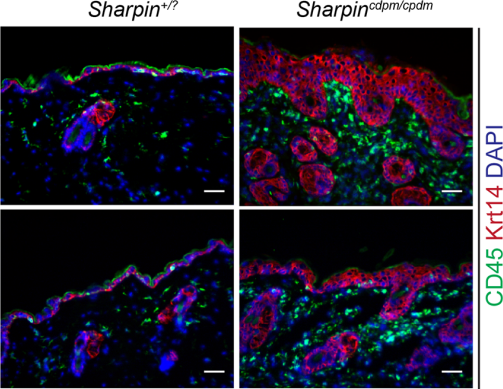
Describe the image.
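Blue nuclei fill the whole section. The red band at the surface is the epidermis, and red rings and cords deeper down are hair follicles and glands. On the left the epidermis is a thin red line, with only a few green cells beneath it. On the right the red epidermis is much thicker and sends tongues down into the dermis. Beneath it, many green cells crowd together among the nuclei.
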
